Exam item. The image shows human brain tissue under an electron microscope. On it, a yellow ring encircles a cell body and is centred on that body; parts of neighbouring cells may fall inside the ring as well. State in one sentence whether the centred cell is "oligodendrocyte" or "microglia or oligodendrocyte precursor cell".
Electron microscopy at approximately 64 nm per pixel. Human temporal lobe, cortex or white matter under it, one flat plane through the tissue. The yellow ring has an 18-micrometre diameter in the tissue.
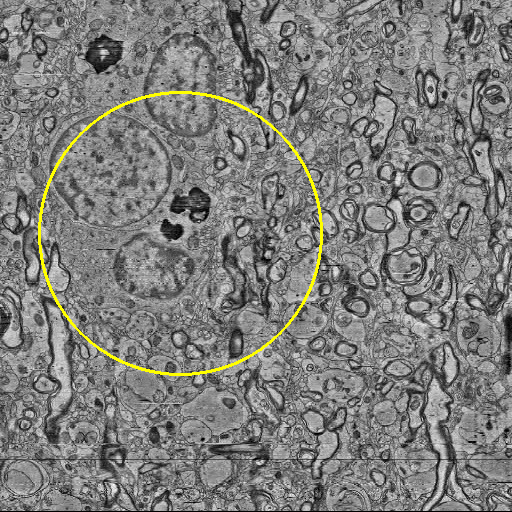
The cell body centred in the ring is an oligodendrocyte.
